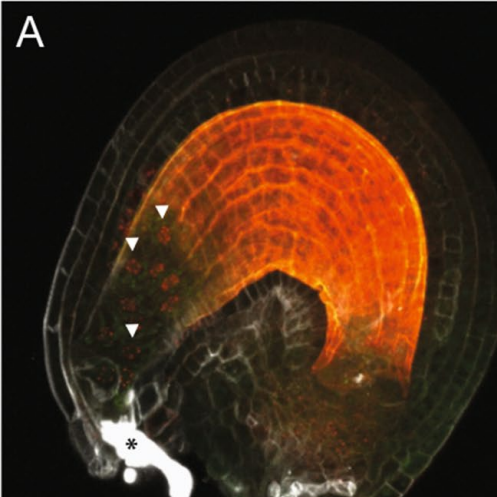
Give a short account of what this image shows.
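This is a whole ovule seen in optical section, its outline formed by several curved layers of flat, box-like cells with white walls. An inner arc of orange-red layered cells curves around the central region, while the outermost cell layers appear grey-white. Within the inner region, small round red nuclei lie scattered at intervals. A bright white tube enters the ovule at its lower left tip and continues out beyond the ovule.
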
